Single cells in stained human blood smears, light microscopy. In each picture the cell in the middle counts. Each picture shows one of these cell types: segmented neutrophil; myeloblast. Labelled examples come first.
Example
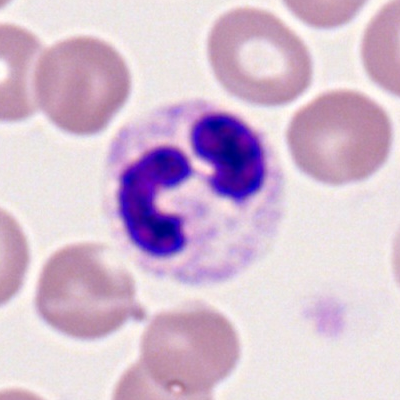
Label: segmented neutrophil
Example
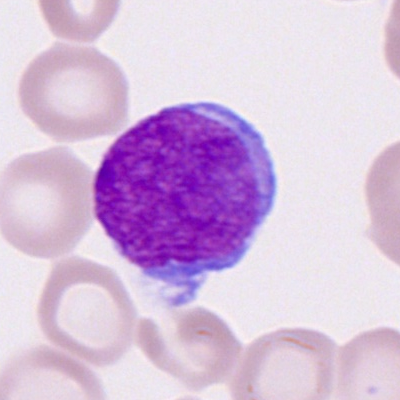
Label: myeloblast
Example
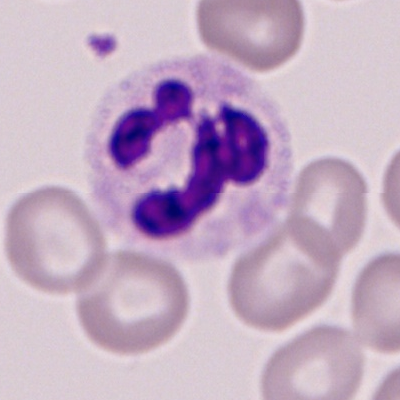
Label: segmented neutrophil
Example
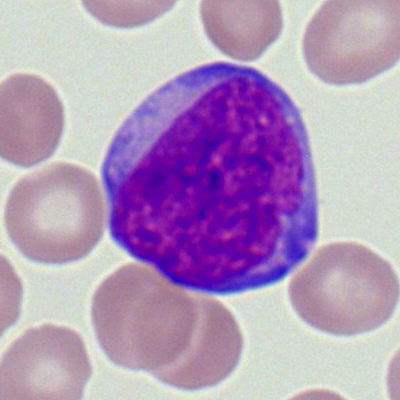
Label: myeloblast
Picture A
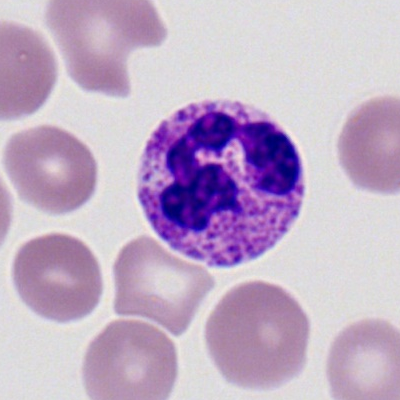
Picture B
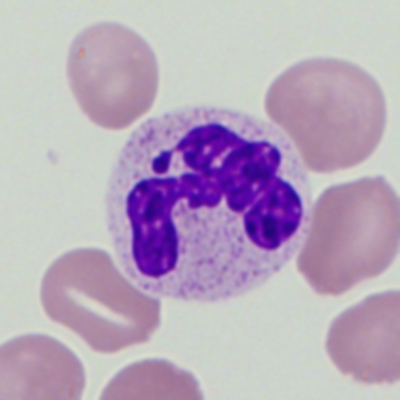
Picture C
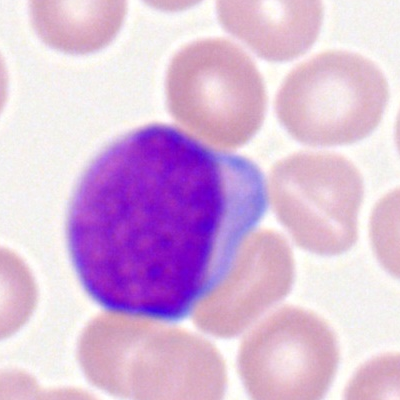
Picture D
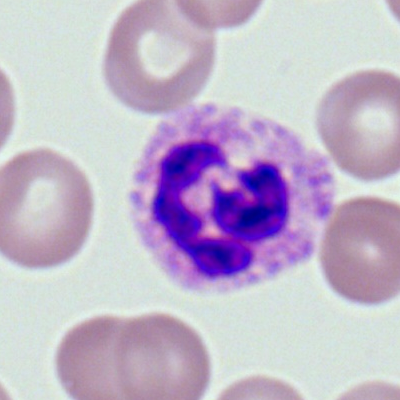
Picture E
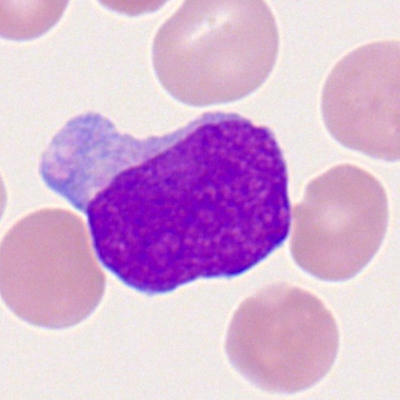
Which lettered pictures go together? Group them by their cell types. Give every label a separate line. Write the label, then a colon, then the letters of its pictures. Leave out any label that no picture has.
segmented neutrophil: A, B, D
myeloblast: C, E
